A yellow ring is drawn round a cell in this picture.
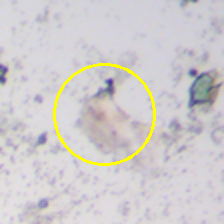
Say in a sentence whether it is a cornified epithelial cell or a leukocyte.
The cell in the ring is a cornified epithelial cell.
